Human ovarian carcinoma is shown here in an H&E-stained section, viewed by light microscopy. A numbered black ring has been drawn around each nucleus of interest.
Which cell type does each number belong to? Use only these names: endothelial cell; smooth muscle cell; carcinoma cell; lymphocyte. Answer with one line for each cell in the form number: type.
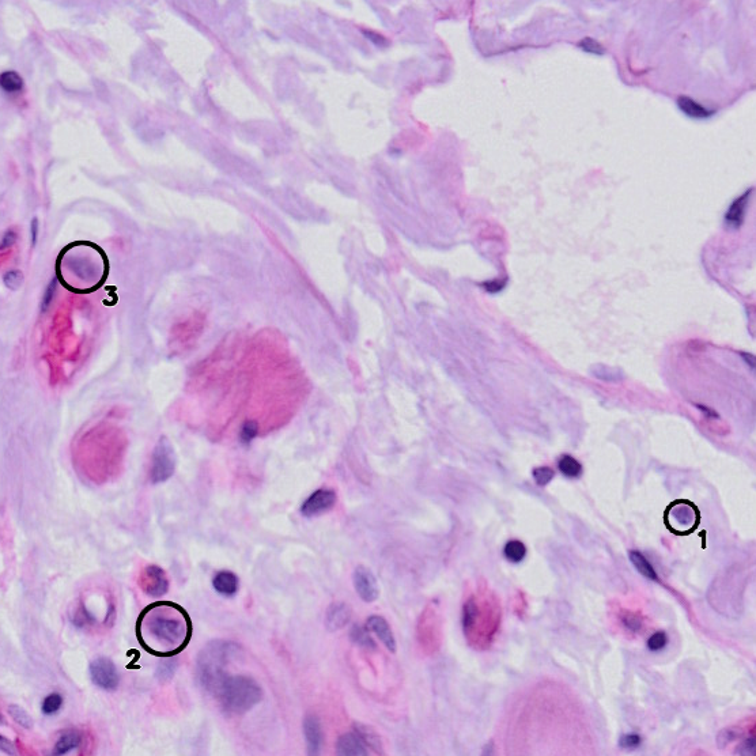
1: lymphocyte
2: endothelial cell
3: endothelial cell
